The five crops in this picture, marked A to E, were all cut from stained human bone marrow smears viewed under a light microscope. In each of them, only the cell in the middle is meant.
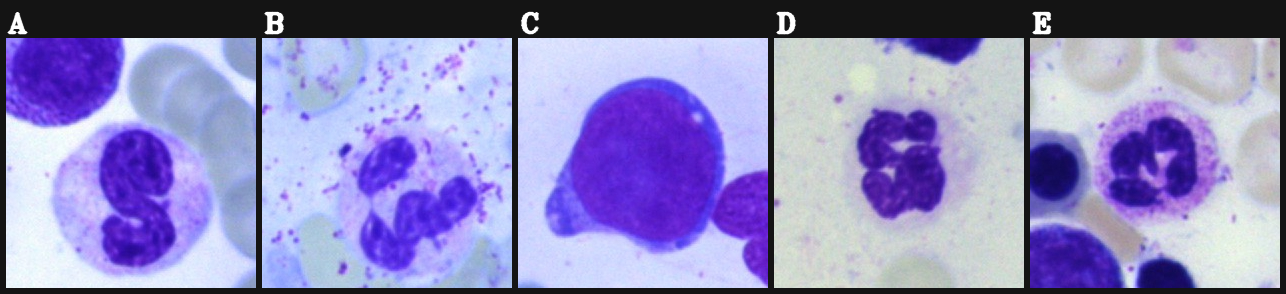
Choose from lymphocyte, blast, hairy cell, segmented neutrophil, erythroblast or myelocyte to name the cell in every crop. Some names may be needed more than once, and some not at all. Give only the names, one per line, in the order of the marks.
segmented neutrophil
segmented neutrophil
blast
segmented neutrophil
segmented neutrophil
